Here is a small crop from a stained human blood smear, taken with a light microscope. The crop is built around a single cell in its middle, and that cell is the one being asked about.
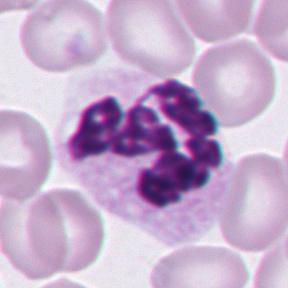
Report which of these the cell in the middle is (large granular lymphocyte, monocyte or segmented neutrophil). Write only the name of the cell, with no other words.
segmented neutrophil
